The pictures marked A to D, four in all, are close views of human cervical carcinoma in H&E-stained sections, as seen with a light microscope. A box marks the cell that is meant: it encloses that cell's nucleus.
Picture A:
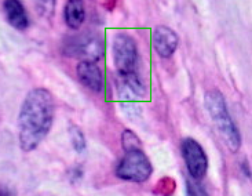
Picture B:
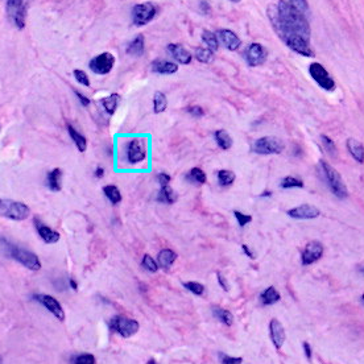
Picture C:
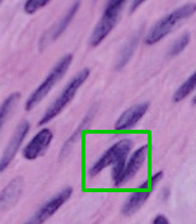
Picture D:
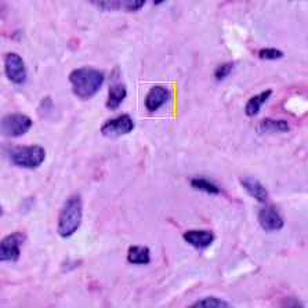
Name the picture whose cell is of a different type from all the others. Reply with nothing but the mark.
A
